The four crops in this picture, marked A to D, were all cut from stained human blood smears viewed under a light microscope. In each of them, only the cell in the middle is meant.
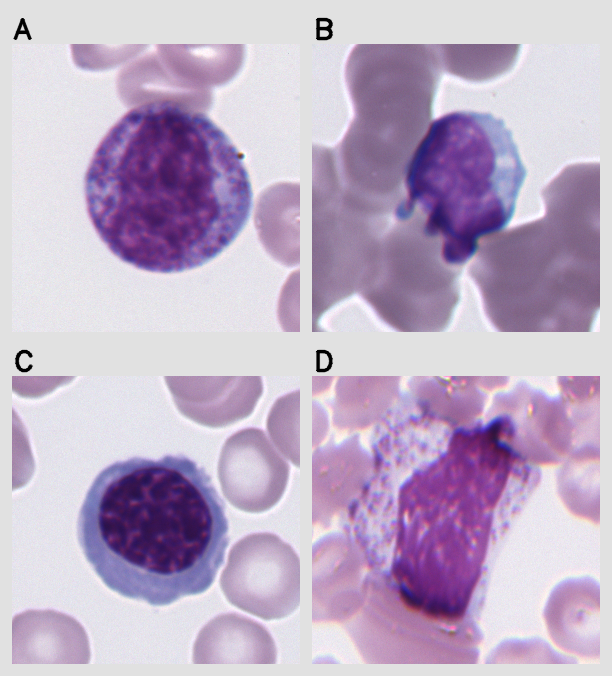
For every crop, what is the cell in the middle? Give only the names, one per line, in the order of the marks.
myelocyte
typical lymphocyte
normoblast
myelocyte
